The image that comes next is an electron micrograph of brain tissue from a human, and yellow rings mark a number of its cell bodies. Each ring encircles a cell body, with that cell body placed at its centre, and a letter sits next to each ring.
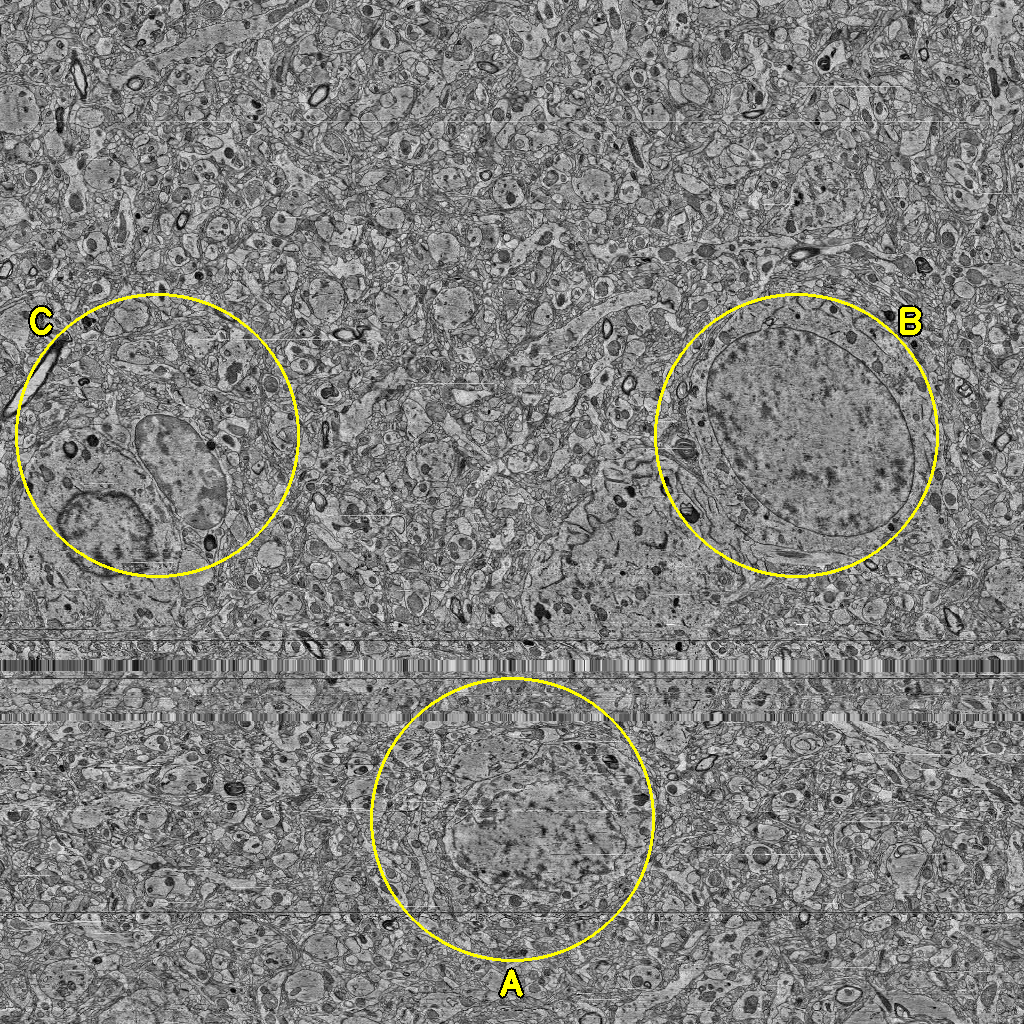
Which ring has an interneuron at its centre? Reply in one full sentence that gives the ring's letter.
In the image, ring A has the cell the question asks for at its centre.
